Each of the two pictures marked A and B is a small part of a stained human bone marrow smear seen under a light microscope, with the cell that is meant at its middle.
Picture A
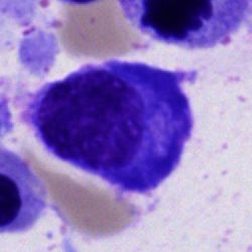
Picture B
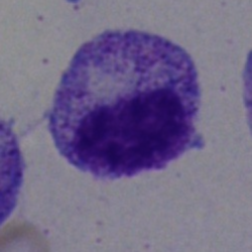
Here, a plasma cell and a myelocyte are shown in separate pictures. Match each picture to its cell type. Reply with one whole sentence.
Picture A shows a plasma cell and picture B shows a myelocyte.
